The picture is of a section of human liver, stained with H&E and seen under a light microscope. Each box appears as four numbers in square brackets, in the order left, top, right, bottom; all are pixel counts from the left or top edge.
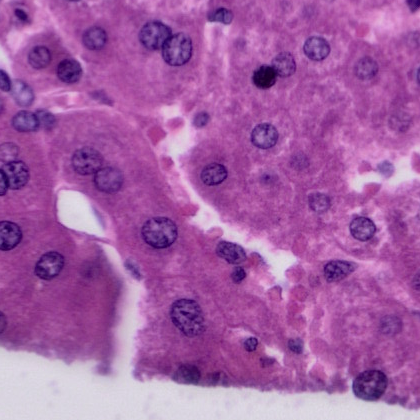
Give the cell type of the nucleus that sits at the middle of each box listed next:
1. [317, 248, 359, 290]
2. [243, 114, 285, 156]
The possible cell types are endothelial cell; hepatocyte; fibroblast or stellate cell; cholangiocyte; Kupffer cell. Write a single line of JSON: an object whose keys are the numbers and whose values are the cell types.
{"1": "Kupffer cell", "2": "hepatocyte"}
